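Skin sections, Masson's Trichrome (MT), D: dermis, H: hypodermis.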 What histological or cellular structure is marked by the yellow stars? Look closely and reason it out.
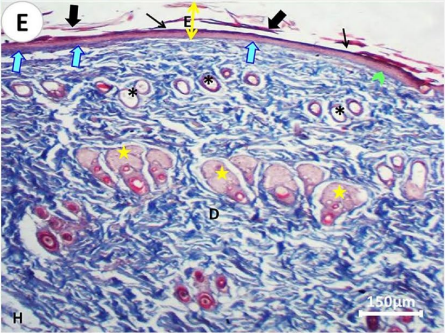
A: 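Lobulated clusters of pale, foamy cells in the dermis. The clusters sit beside hair follicles.
Conclusion: sebaceous glands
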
